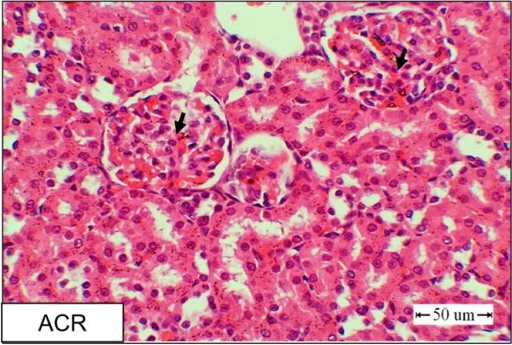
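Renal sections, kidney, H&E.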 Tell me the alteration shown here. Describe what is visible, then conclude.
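The glomerular tufts are filled with red-staining blood cells. Red blood cells also show between tubules. So: hyperemia of the capillary tufts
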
